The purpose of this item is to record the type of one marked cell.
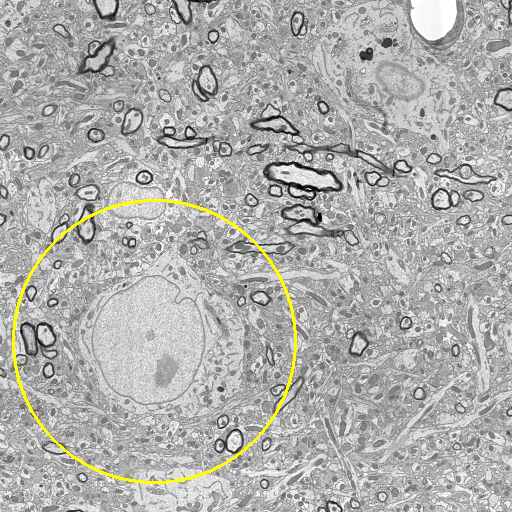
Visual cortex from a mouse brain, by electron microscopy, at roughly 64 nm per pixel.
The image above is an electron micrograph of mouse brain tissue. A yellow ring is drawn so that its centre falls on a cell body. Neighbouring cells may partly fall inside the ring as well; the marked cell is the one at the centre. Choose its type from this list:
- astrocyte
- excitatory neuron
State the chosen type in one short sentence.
What the ring marks here is an excitatory neuron.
